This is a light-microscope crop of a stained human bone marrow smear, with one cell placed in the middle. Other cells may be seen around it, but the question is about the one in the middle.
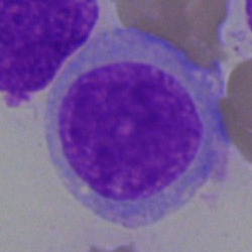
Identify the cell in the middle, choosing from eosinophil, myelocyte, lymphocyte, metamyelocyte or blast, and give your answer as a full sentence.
Present in the middle of the crop is a blast.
